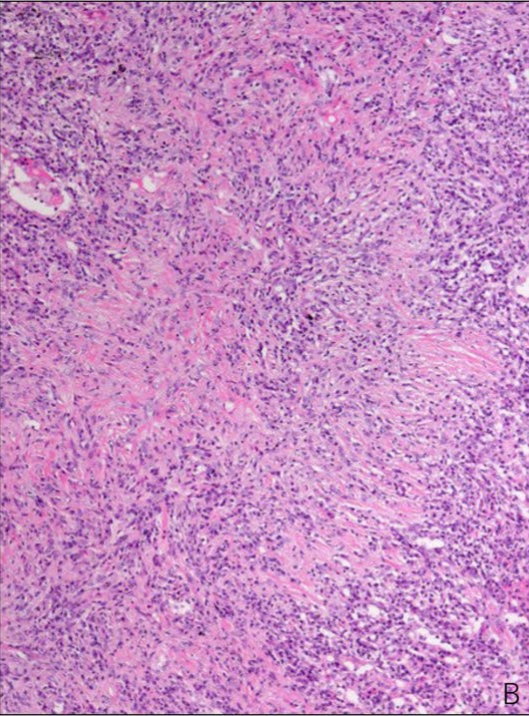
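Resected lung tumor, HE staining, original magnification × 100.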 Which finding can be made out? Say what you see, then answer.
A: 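Storiform fibrosis. Pink collagen bundles and spindle cells run in whorling, cartwheel-like directions. The fibrous bands interweave between cellular areas.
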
